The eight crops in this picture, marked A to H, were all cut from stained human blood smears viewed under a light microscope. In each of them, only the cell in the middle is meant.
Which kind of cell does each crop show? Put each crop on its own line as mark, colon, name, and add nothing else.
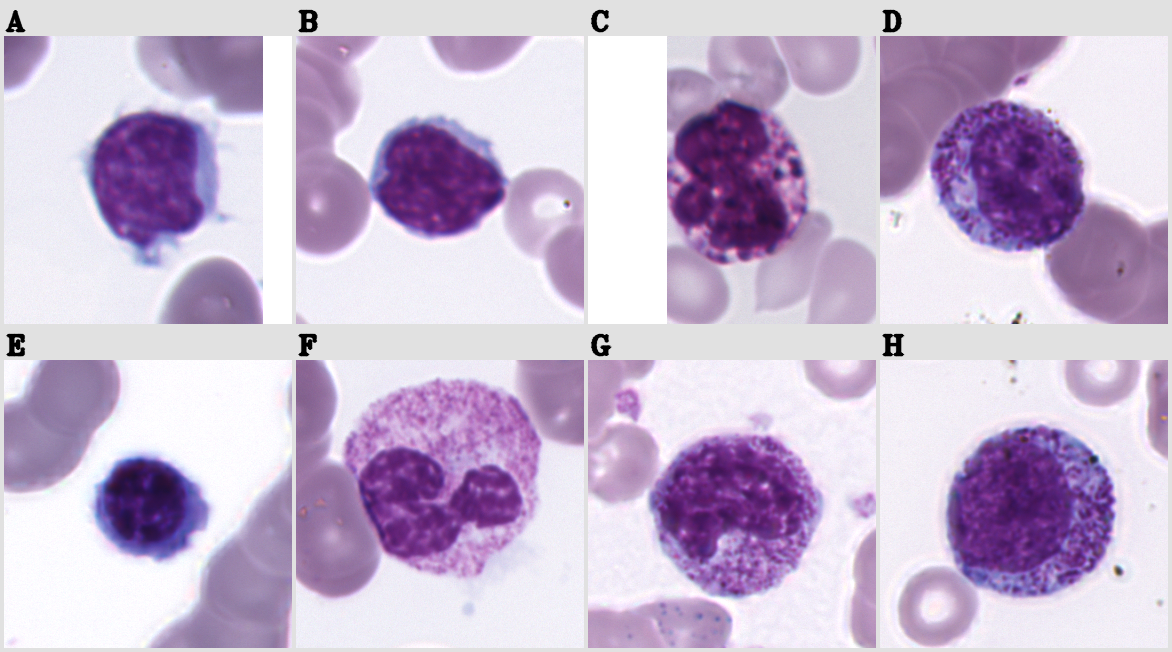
A: hairy cell
B: typical lymphocyte
C: basophil
D: promyelocyte
E: plasma cell
F: segmented neutrophil
G: metamyelocyte
H: promyelocyte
